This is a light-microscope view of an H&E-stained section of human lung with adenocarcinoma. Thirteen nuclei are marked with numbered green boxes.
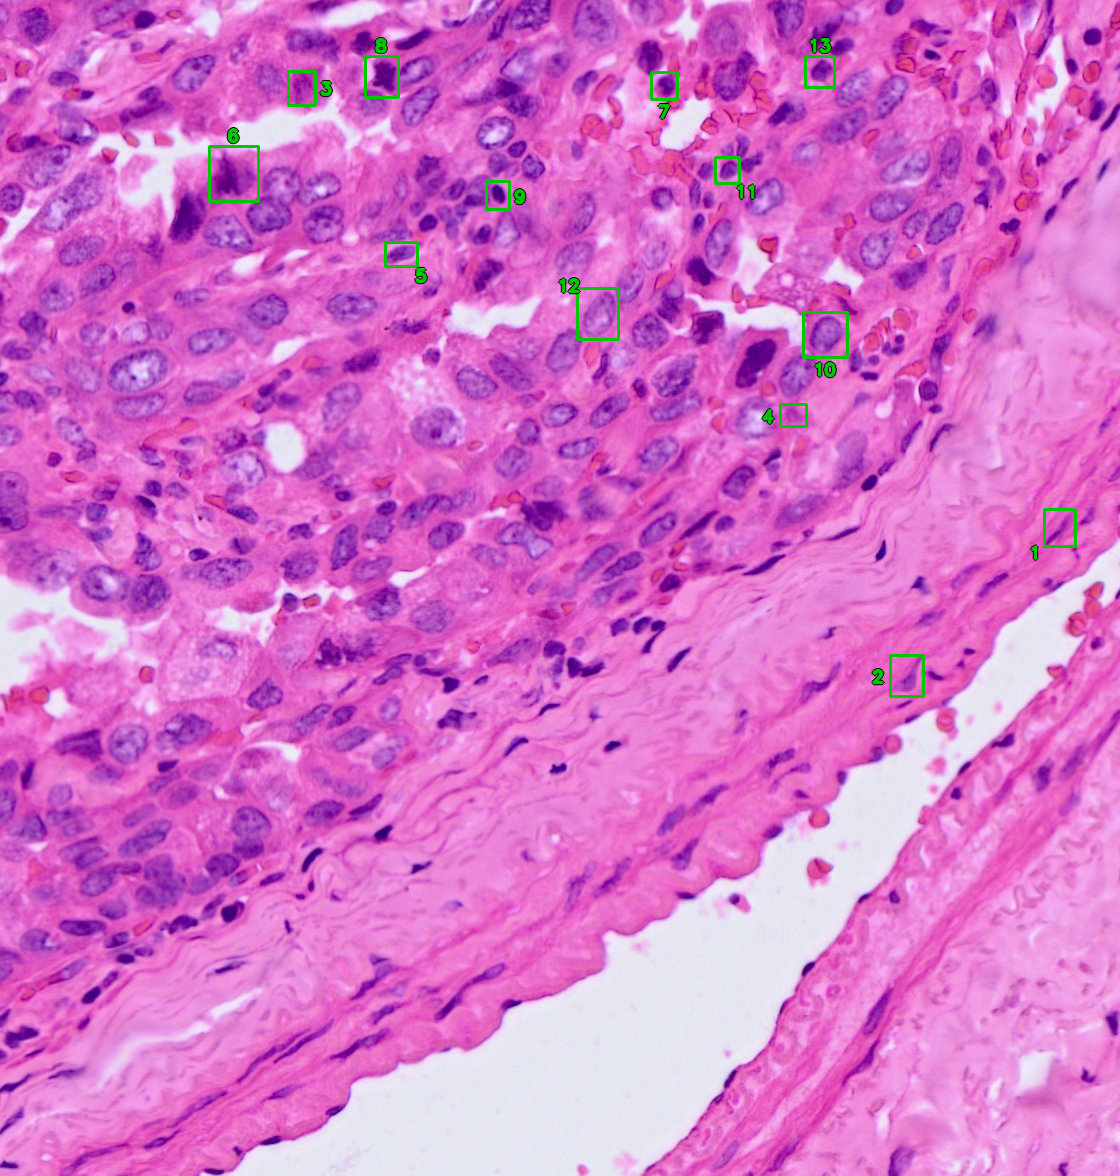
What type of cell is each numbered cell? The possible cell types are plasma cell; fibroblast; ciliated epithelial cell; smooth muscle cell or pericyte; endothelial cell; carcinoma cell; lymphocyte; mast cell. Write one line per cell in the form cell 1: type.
cell 1: smooth muscle cell or pericyte
cell 2: smooth muscle cell or pericyte
cell 3: carcinoma cell
cell 4: carcinoma cell
cell 5: lymphocyte
cell 6: carcinoma cell
cell 7: lymphocyte
cell 8: carcinoma cell
cell 9: lymphocyte
cell 10: carcinoma cell
cell 11: lymphocyte
cell 12: carcinoma cell
cell 13: lymphocyte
